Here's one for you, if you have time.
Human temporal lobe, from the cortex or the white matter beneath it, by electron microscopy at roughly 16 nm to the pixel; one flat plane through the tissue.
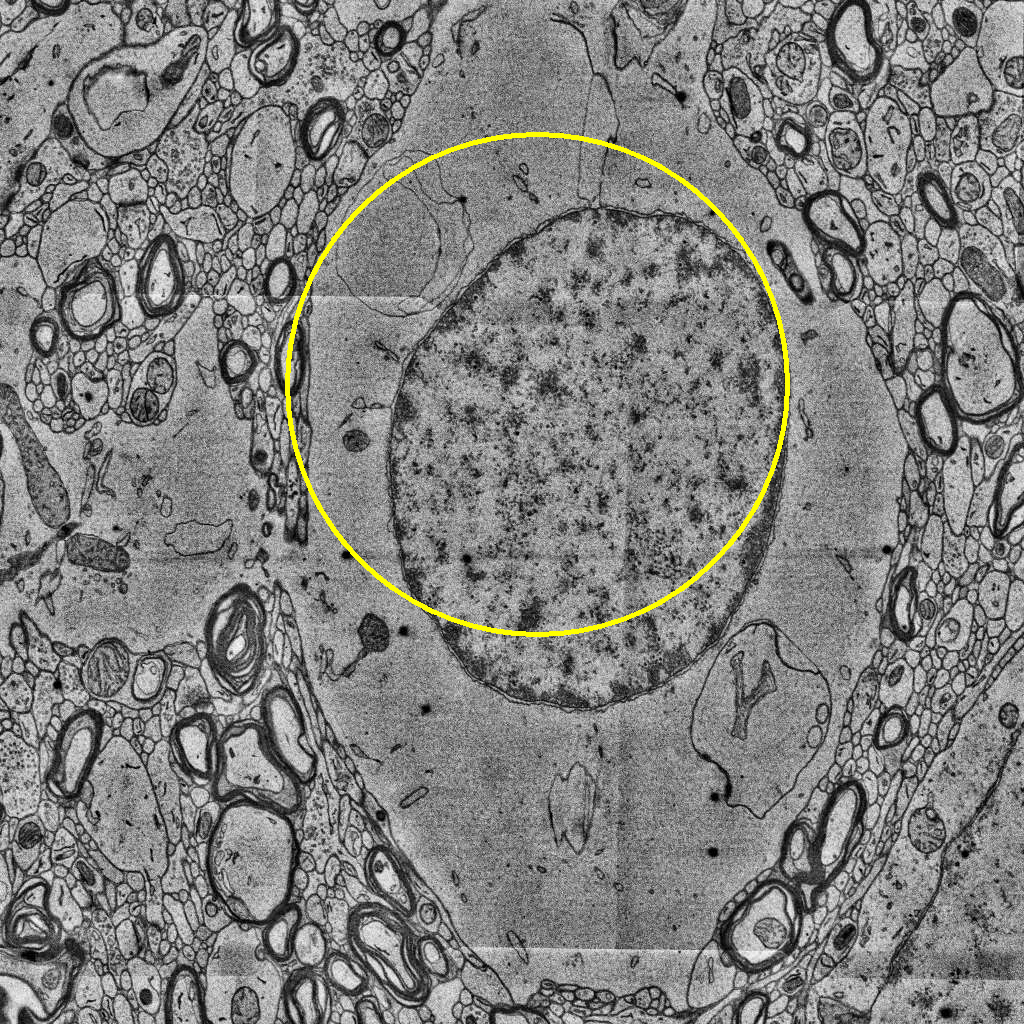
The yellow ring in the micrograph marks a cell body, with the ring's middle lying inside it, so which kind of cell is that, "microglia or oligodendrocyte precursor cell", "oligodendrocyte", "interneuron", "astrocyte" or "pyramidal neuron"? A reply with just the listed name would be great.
astrocyte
